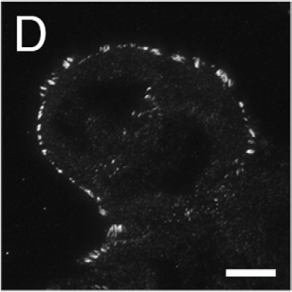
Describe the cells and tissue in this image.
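A few smaller streaks lie further inside the cell, while the centre shows only faint, finely speckled signal. The cell outline is rounded, with part of a neighbouring cell edge visible below.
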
